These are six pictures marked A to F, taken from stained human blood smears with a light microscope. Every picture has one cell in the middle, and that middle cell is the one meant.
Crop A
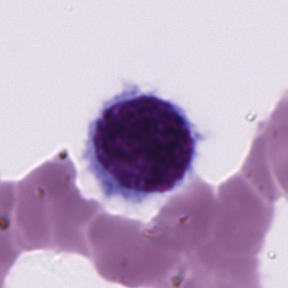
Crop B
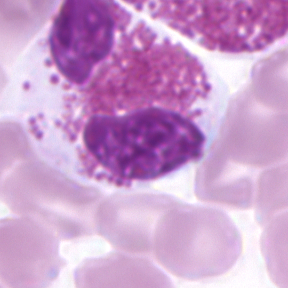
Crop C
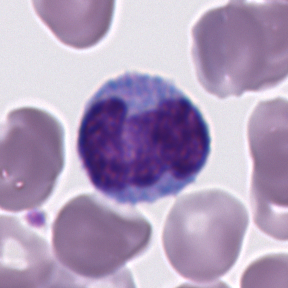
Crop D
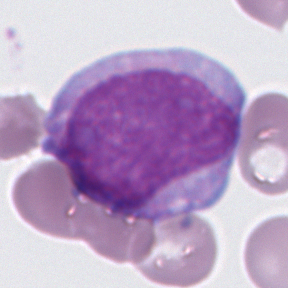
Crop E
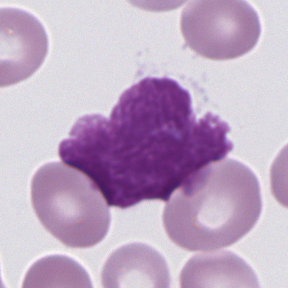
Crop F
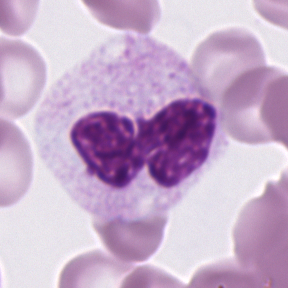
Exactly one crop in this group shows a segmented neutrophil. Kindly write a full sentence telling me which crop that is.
The crop with a segmented neutrophil at its center is crop F.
